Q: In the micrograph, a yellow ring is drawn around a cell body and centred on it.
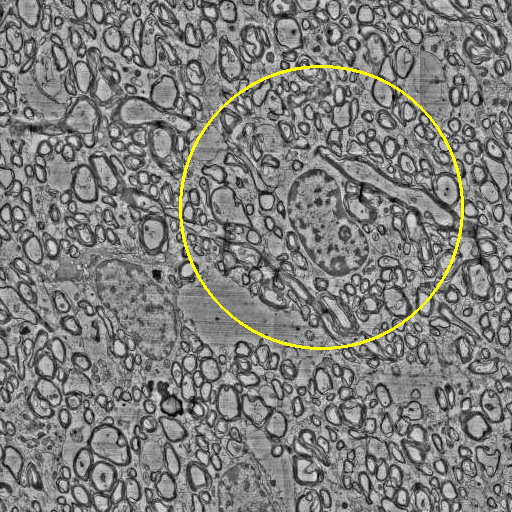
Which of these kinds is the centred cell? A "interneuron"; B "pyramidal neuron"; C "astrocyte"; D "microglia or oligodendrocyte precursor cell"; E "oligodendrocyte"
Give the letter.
D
